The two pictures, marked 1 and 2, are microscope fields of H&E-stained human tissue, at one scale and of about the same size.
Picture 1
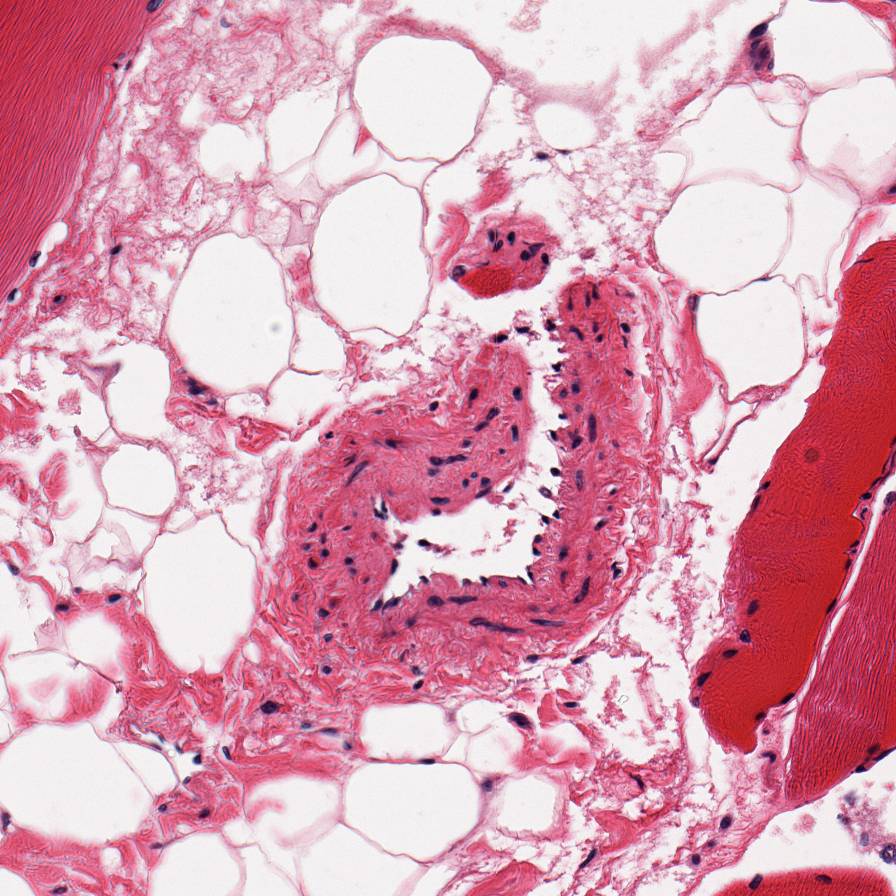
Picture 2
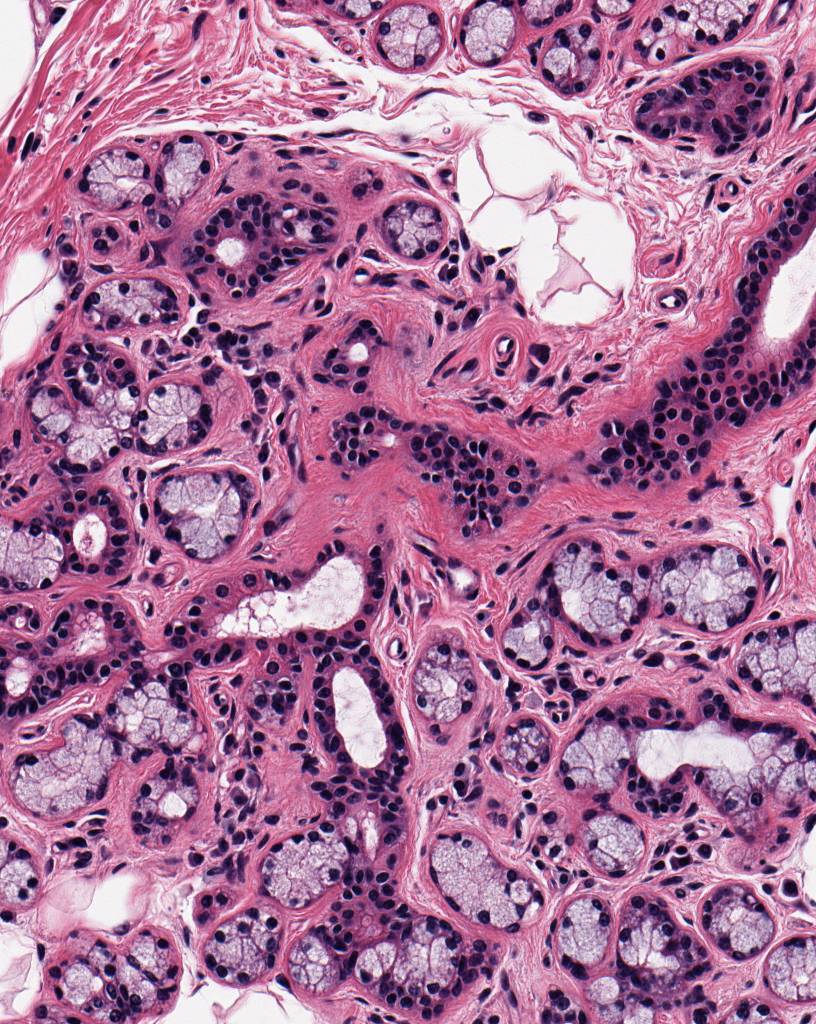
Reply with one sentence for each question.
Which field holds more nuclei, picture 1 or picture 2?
It is picture 2 that has more nuclei in it.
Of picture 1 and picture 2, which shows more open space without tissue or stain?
It is picture 1 in which white space covers the larger part.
